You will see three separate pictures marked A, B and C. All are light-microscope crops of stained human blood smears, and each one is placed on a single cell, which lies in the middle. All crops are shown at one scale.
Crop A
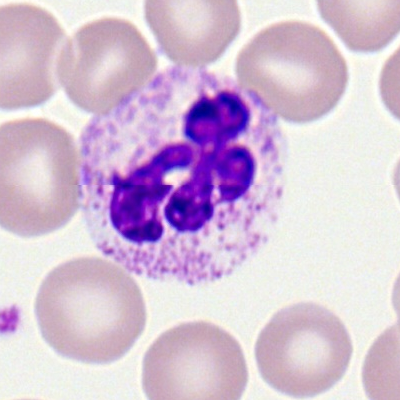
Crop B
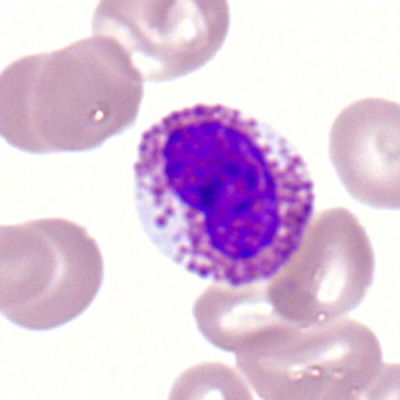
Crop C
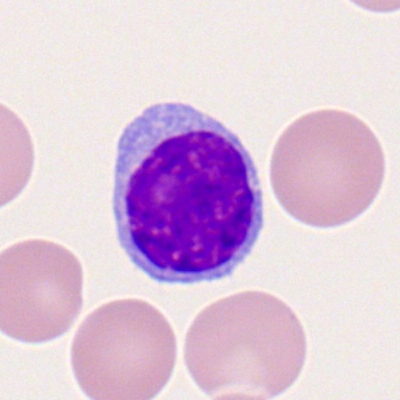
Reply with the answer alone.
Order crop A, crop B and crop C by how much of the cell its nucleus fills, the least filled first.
A, B, C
